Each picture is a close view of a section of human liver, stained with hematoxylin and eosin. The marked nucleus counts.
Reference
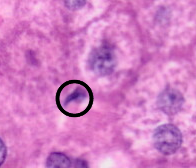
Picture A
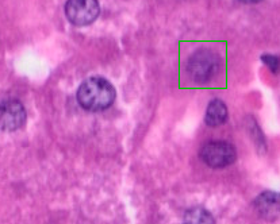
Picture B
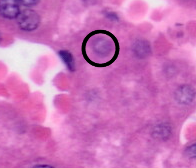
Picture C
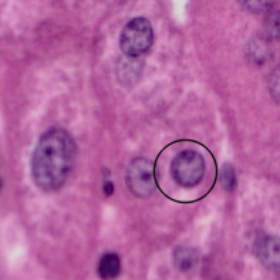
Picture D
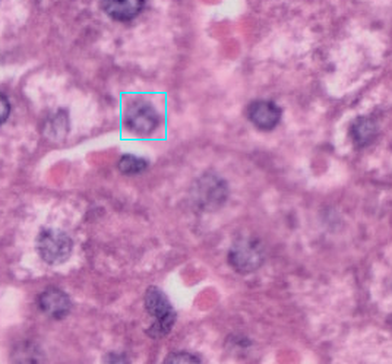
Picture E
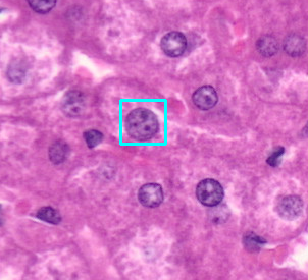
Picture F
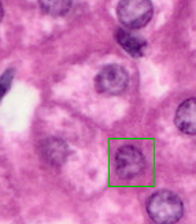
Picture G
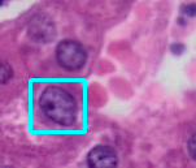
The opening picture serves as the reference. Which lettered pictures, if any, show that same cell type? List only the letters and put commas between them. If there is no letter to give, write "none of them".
none of them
